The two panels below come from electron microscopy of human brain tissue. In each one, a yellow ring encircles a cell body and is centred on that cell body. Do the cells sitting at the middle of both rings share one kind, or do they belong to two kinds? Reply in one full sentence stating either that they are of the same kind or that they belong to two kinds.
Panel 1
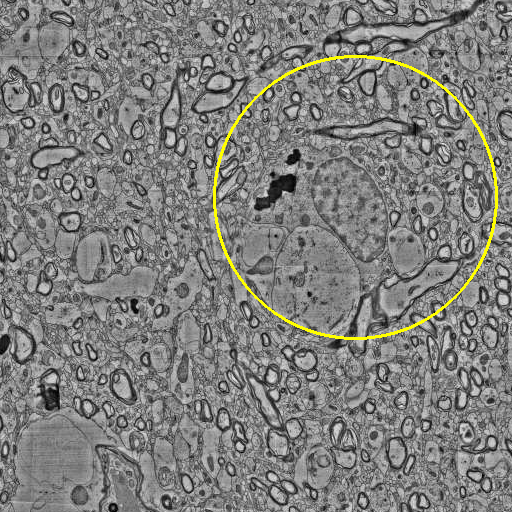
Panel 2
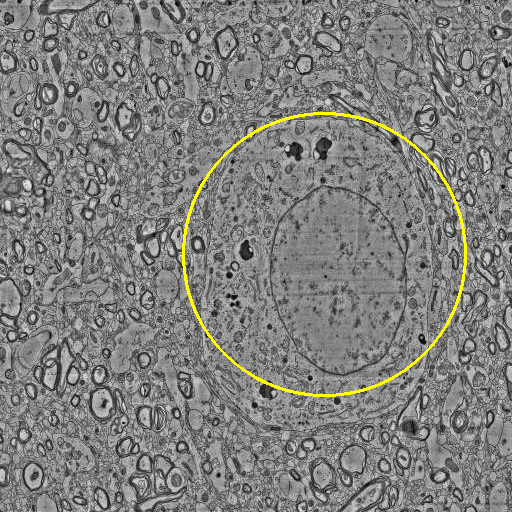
The cells at the centres of the two rings belong to two kinds.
